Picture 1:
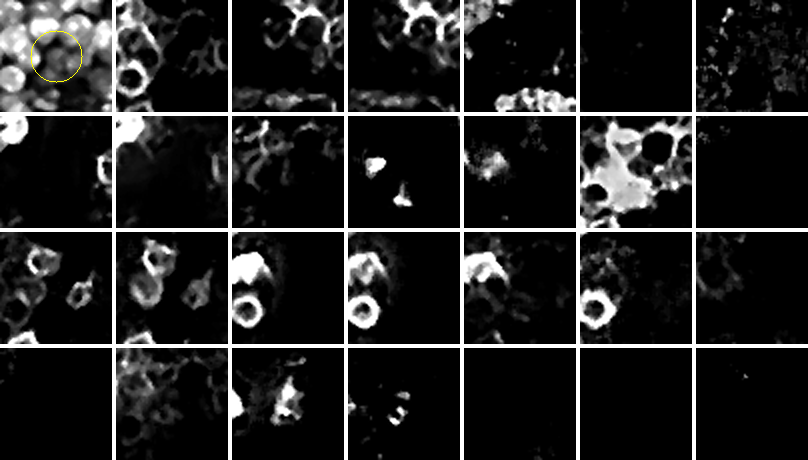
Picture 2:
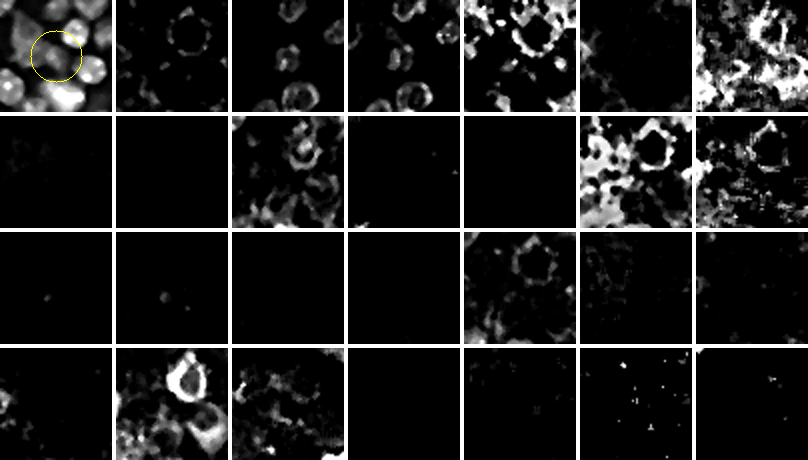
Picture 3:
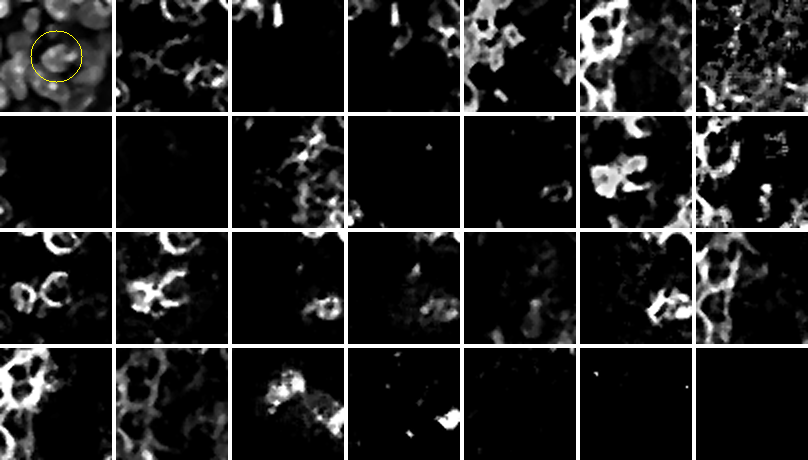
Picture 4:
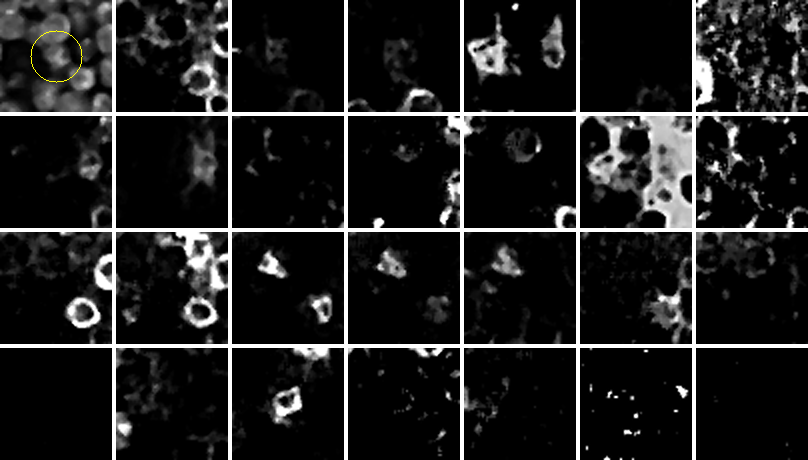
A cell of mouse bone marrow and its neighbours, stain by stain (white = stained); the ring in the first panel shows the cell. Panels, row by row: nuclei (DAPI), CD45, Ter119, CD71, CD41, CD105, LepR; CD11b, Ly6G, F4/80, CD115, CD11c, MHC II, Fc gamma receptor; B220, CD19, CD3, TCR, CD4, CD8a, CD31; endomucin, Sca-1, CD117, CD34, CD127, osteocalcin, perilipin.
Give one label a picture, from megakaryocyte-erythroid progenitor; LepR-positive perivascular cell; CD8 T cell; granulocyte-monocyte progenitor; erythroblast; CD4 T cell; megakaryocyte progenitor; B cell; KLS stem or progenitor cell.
1. megakaryocyte-erythroid progenitor
2. erythroblast
3. B cell
4. megakaryocyte-erythroid progenitor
